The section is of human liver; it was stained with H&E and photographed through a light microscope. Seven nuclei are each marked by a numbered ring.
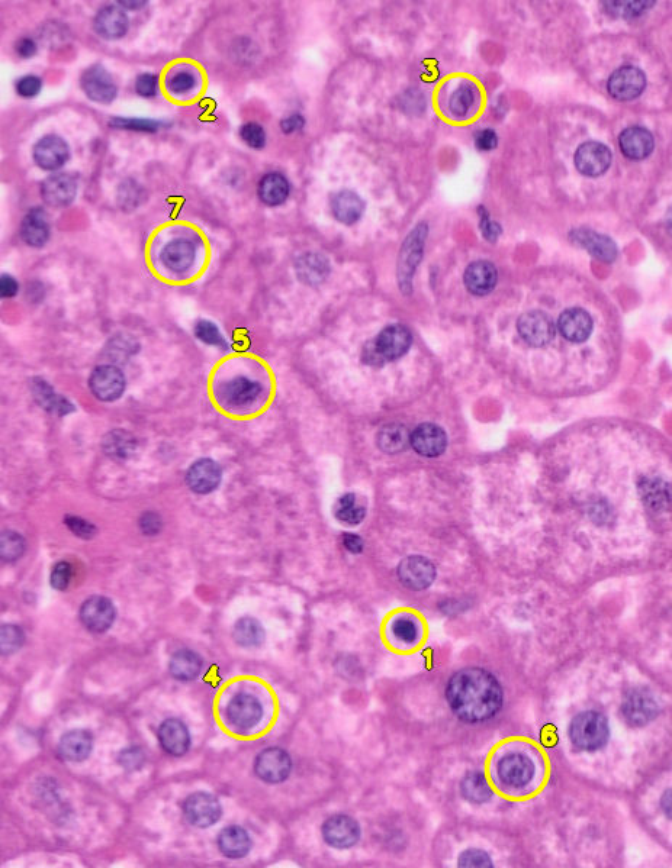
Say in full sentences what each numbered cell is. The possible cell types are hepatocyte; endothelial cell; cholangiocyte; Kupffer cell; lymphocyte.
Cell 1 is a lymphocyte, cell 2 is a lymphocyte, cell 3 is a Kupffer cell, cell 4 is a hepatocyte, cell 5 is an endothelial cell, cell 6 is a hepatocyte and cell 7 is a hepatocyte.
